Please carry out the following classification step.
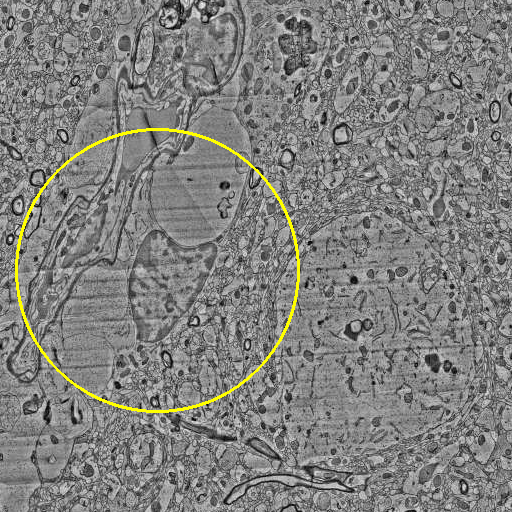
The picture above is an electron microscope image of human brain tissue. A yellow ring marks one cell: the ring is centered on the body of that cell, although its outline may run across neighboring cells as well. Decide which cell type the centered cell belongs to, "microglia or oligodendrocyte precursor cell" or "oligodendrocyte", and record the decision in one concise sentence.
The cell centered in the yellow ring is a microglial cell or oligodendrocyte precursor cell.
